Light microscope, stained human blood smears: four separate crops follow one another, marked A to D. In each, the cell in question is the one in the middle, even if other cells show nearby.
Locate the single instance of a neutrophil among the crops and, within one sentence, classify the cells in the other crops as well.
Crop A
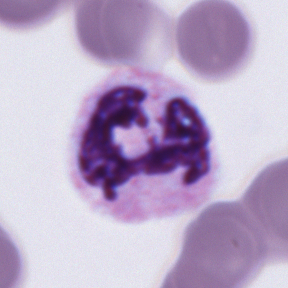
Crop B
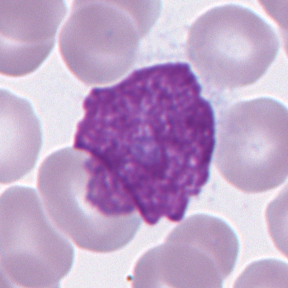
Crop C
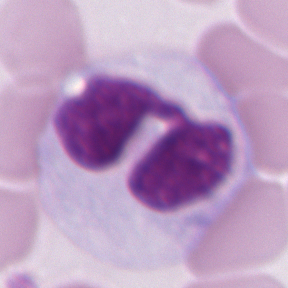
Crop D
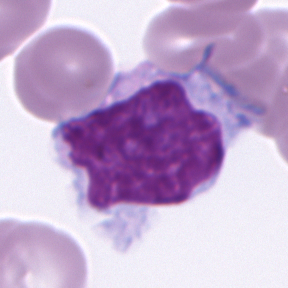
Crop A shows a neutrophil, while crop B is a smudge cell, crop C is a monocyte and crop D is a hairy cell.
